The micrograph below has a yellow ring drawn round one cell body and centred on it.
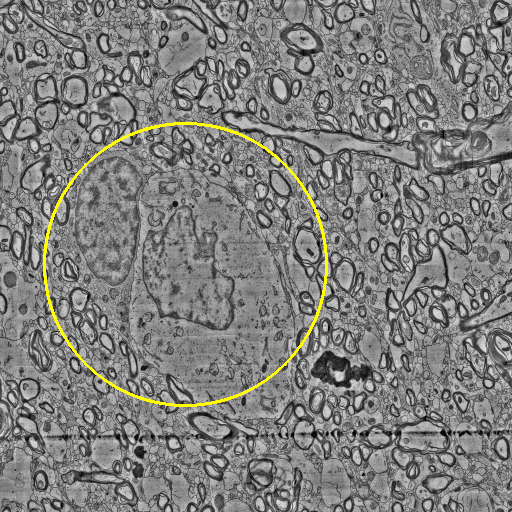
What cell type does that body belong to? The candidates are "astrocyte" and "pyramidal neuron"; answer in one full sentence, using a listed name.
This is a pyramidal neuron, the cell whose body lies at the centre of the ring.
